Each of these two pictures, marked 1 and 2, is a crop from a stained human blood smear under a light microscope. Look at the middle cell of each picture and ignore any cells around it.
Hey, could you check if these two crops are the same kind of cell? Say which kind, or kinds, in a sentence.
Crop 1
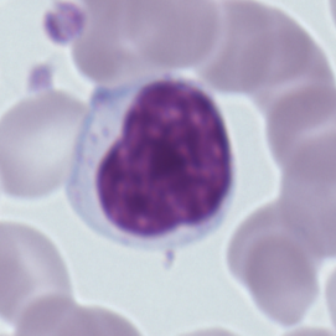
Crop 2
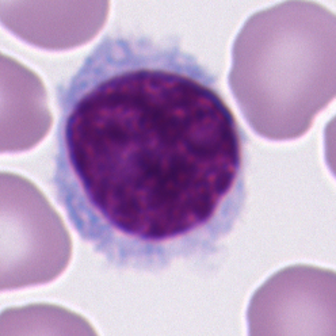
No, crop 1 offers a large granular lymphocyte, while crop 2 offers a hairy cell.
